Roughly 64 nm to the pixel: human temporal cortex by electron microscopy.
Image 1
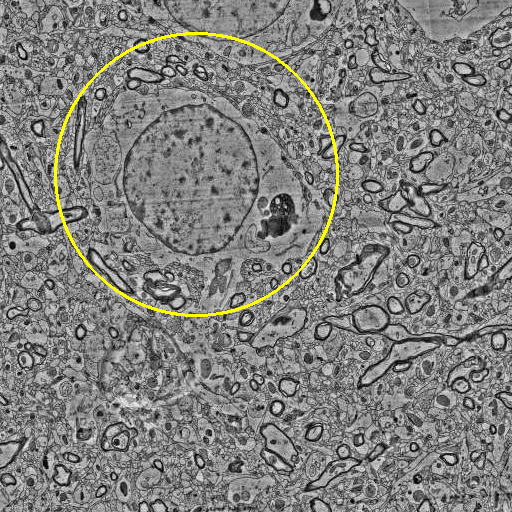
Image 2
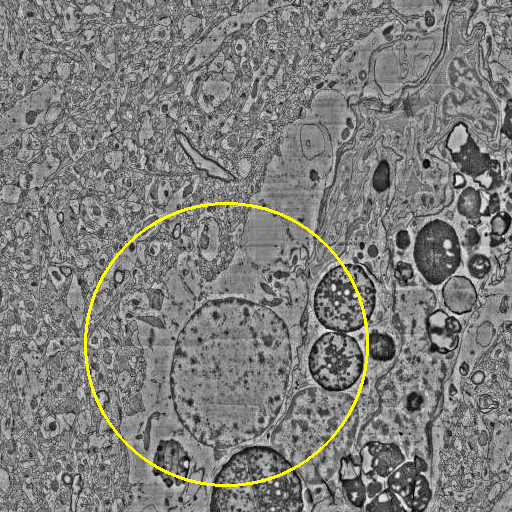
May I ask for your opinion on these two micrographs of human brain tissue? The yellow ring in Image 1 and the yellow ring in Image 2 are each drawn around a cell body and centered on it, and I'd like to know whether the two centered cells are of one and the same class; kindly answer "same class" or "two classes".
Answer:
same class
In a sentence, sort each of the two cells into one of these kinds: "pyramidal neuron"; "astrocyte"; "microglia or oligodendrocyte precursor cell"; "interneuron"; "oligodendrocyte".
The second cell is an astrocyte, just as the first is.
